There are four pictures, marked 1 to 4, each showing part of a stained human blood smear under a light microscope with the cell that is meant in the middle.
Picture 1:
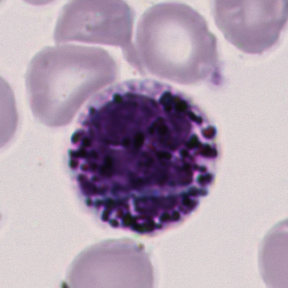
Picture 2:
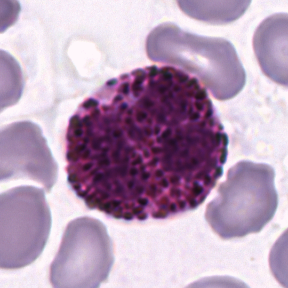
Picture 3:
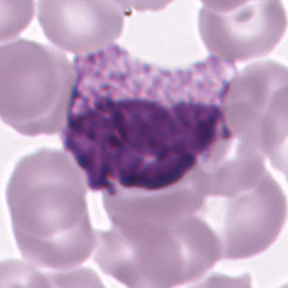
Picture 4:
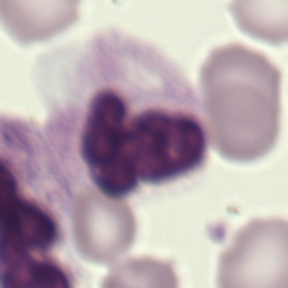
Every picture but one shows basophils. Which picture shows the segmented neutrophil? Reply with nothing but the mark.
4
